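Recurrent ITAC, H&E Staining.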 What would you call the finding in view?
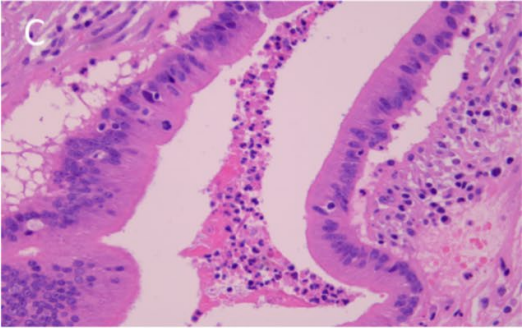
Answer: The nucleus was rod-shaped.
